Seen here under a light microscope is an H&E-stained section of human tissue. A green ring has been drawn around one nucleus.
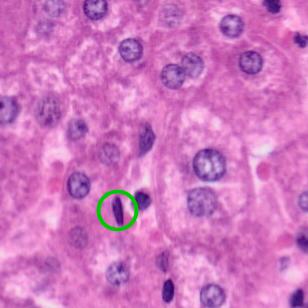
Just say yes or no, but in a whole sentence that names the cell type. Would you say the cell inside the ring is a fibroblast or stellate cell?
Yes, the cell inside the ring is one that is classed as a fibroblast or stellate cell.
